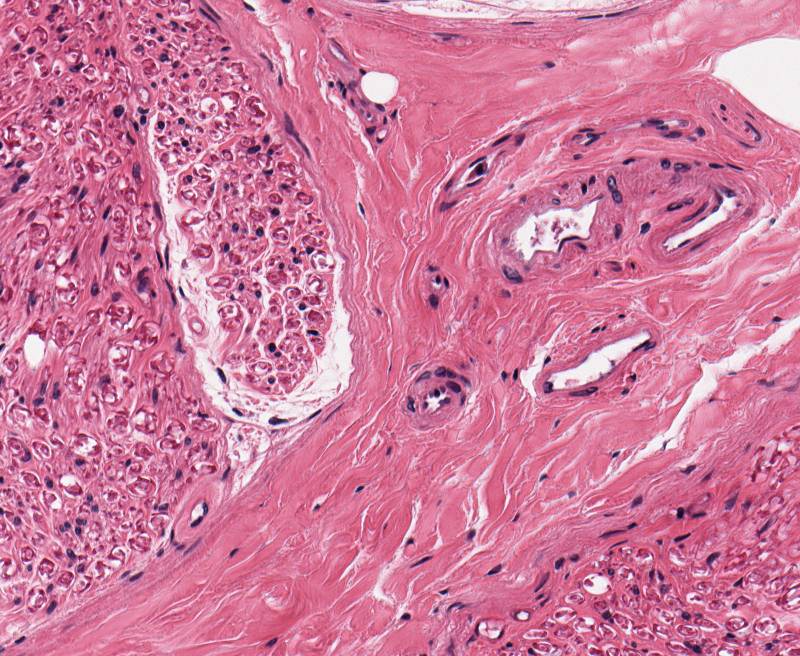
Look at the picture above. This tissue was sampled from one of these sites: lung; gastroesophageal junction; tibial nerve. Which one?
tibial nerve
